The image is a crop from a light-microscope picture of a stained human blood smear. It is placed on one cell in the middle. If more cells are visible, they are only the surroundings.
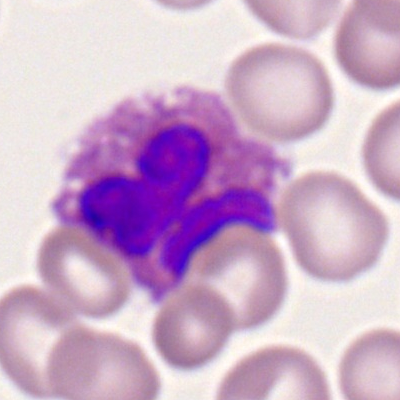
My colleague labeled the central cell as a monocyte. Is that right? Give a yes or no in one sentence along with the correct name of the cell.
No, the central cell is an eosinophil; it should not be labelled a monocyte.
